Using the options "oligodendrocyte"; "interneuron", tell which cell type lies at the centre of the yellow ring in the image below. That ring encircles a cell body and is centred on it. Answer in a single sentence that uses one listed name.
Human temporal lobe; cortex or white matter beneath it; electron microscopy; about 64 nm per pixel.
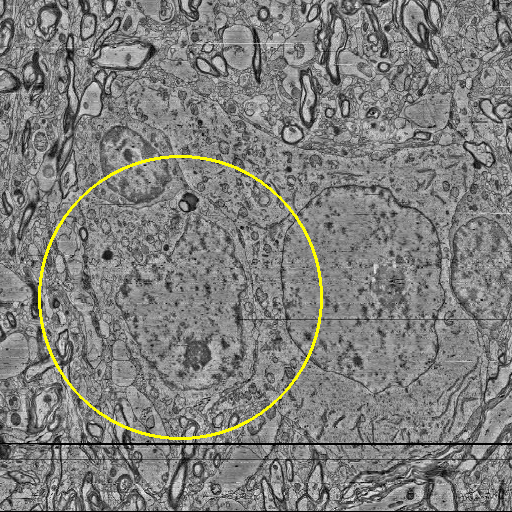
At the centre of the yellow ring lies the body of an interneuron.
